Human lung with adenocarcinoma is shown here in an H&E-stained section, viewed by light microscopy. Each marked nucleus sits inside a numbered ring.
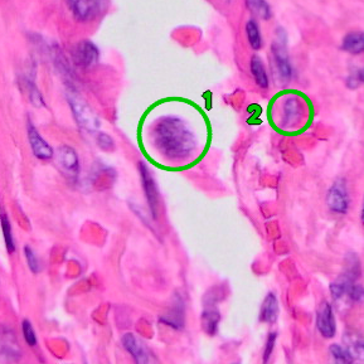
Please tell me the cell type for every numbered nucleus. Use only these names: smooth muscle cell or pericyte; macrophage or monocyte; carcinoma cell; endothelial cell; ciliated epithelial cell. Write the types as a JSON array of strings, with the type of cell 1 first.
["carcinoma cell", "endothelial cell"]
